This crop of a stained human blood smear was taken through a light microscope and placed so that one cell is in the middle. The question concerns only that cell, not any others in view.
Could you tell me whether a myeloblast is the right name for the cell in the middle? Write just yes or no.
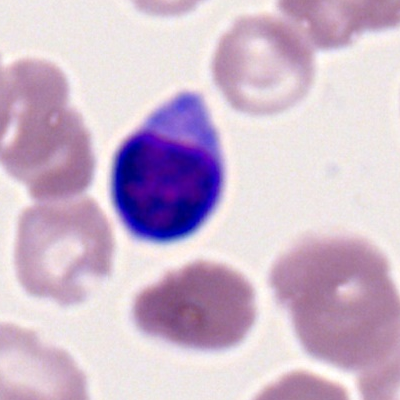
no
